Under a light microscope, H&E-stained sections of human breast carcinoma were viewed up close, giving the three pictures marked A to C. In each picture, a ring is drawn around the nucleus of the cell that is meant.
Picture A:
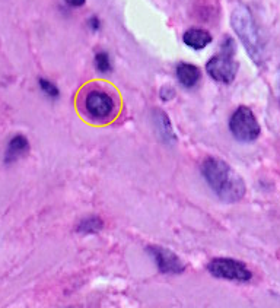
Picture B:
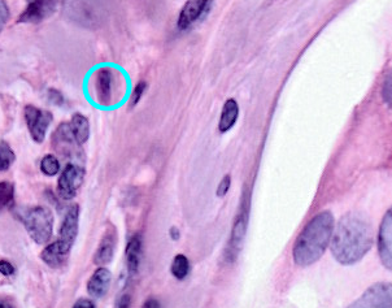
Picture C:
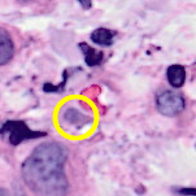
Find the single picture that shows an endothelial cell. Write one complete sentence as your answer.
The endothelial cell is the one in picture C.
